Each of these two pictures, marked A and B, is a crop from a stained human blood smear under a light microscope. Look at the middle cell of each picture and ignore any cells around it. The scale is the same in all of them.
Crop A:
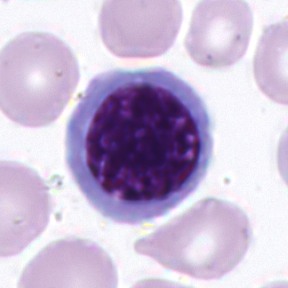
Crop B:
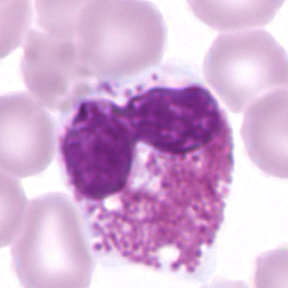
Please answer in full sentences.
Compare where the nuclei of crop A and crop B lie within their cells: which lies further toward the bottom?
In crop A the nucleus is shifted more toward the bottom.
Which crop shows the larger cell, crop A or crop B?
Crop B holds the larger cell; it covers about 1.5 times the area of the cell in crop A.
